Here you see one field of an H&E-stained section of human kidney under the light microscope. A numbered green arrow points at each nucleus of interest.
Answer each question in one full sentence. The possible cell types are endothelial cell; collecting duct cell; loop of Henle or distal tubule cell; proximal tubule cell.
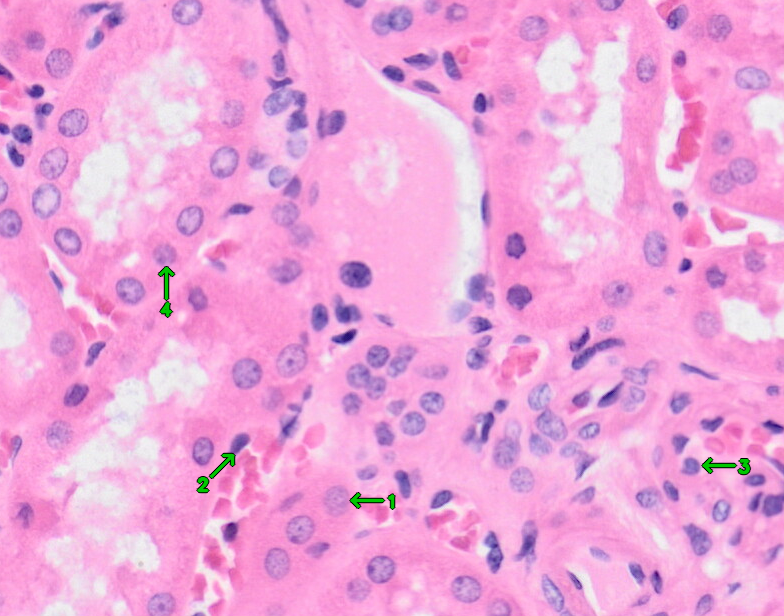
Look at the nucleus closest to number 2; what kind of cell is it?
Closest to number 2 lies the nucleus of a proximal tubule cell.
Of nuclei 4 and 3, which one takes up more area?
Nucleus 4 covers more area, about 1.5 times as much as nucleus 3.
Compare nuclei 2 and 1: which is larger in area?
It is nucleus 1, which covers about 2 times the area of nucleus 2.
